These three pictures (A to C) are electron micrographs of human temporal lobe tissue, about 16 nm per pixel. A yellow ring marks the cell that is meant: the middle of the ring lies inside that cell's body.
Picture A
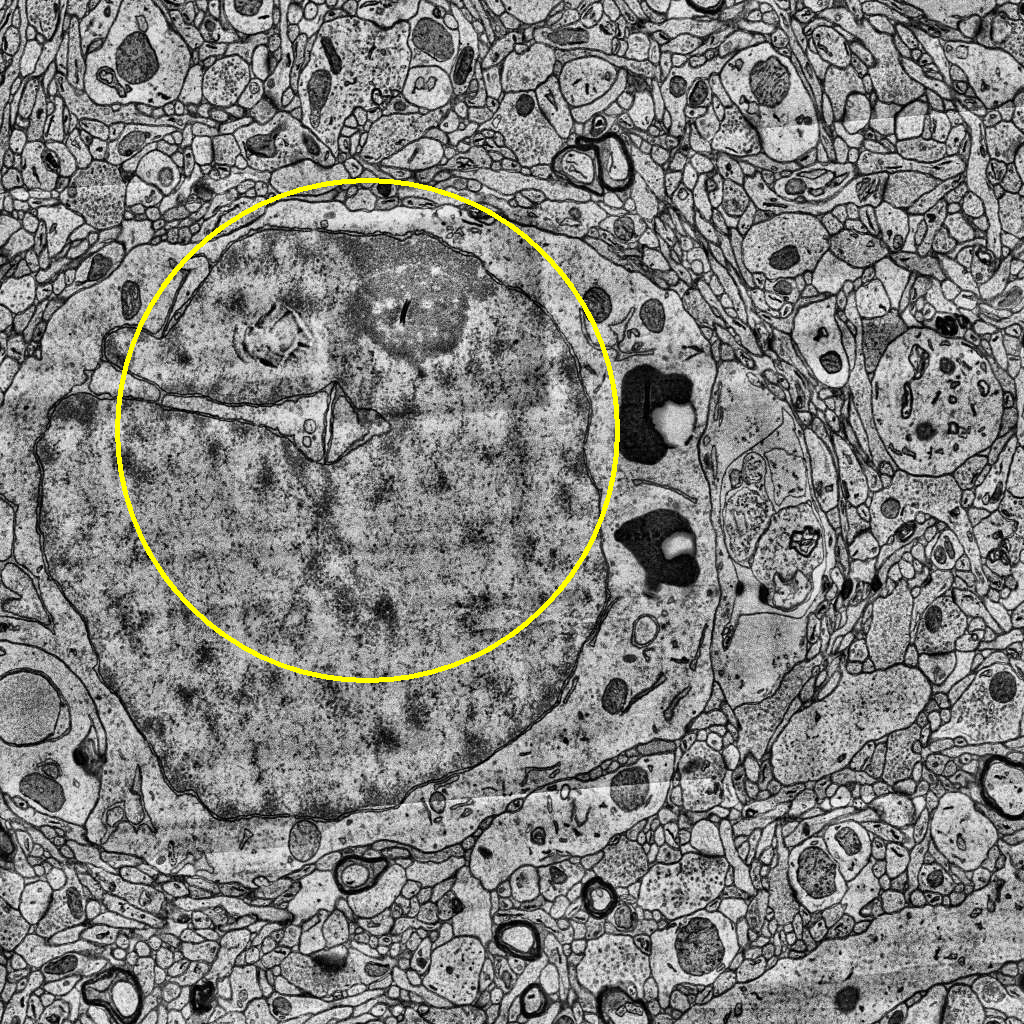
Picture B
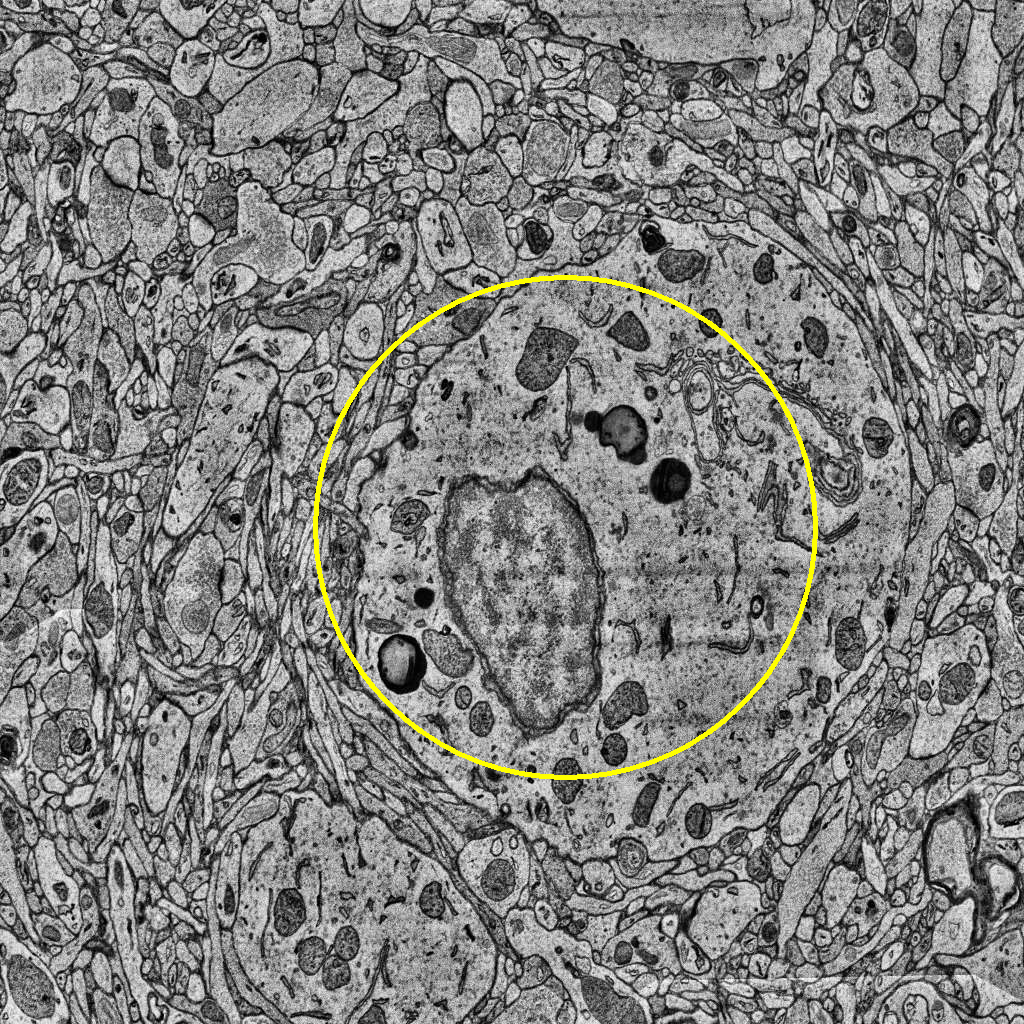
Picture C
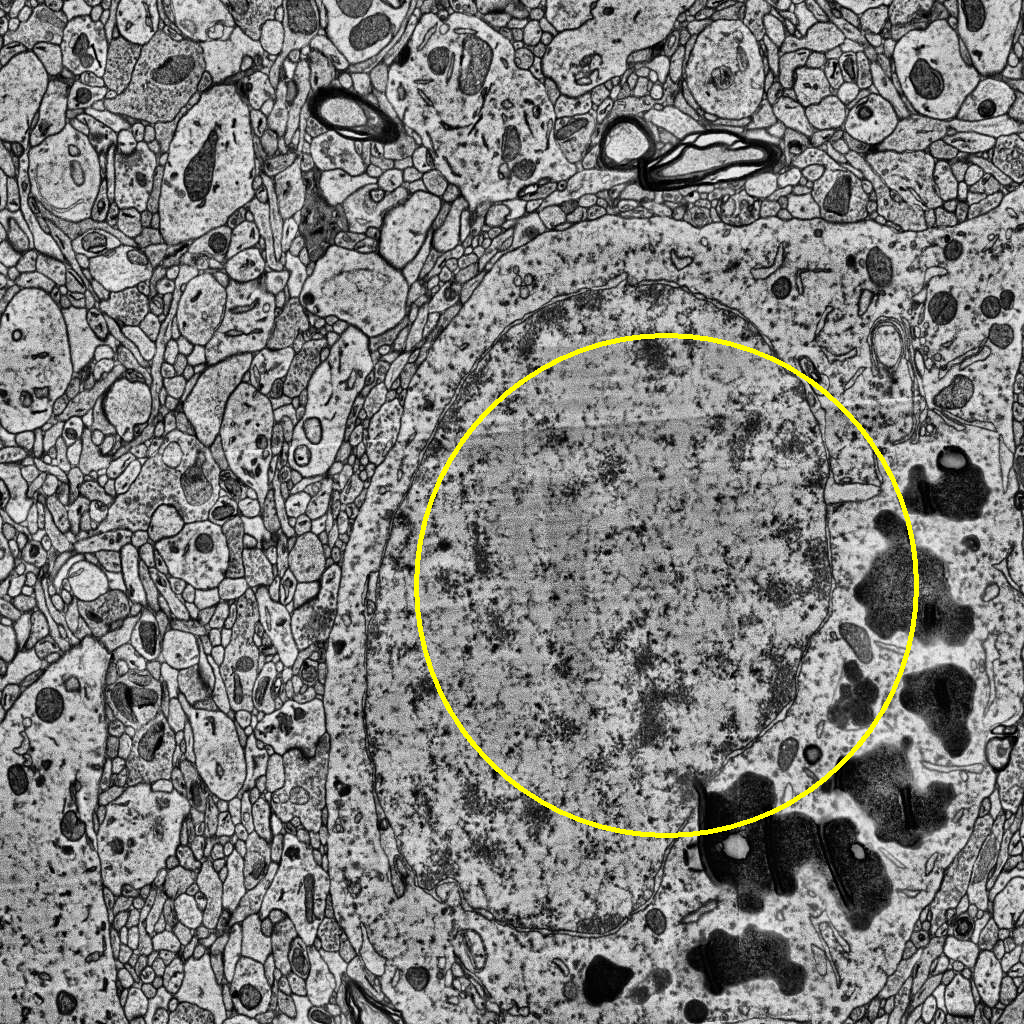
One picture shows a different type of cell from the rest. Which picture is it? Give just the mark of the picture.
B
